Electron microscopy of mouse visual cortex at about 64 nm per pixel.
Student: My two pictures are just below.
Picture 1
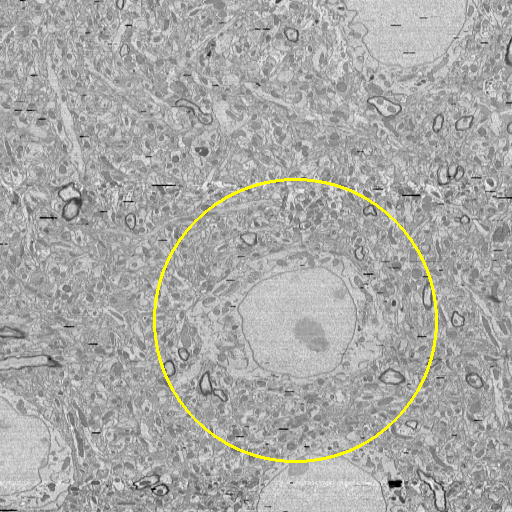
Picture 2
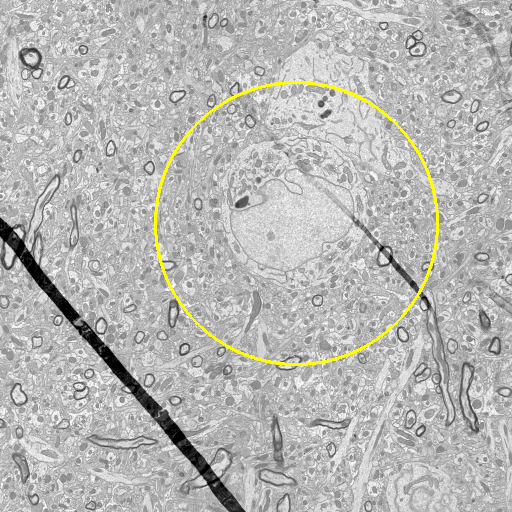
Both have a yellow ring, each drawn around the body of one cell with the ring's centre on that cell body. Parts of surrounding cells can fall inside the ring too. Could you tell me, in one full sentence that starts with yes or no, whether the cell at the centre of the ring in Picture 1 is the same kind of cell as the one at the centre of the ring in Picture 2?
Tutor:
No, the two cells are of two kinds.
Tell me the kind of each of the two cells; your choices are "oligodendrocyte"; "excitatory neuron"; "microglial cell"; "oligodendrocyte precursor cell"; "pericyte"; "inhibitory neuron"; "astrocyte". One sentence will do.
The ringed cell is an excitatory neuron in the first picture and an inhibitory neuron in the second picture.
